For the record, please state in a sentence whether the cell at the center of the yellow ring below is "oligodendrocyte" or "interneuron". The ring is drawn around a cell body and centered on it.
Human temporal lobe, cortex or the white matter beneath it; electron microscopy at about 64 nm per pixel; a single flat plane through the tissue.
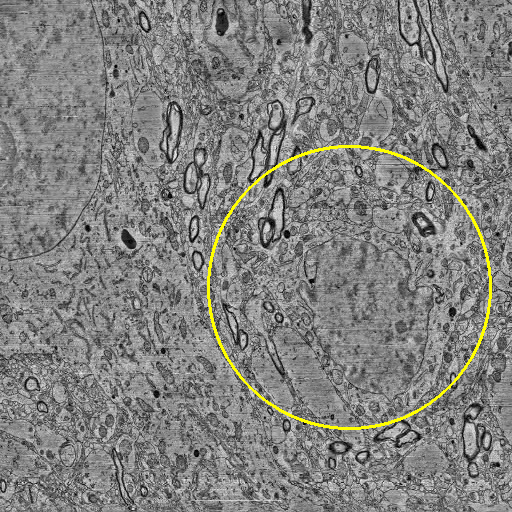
The cell at the ring's center is an interneuron.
